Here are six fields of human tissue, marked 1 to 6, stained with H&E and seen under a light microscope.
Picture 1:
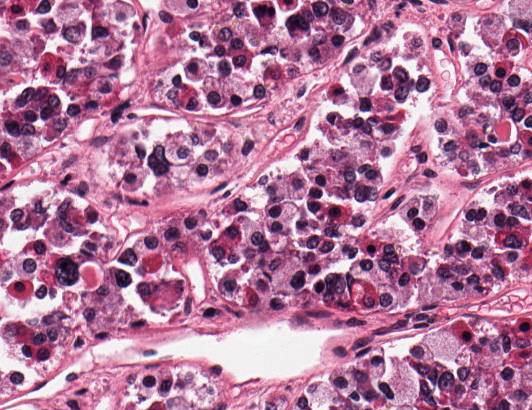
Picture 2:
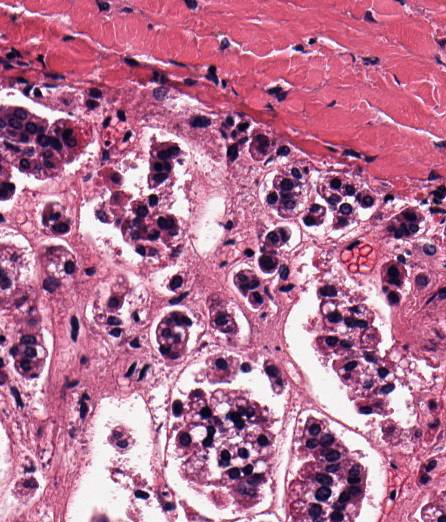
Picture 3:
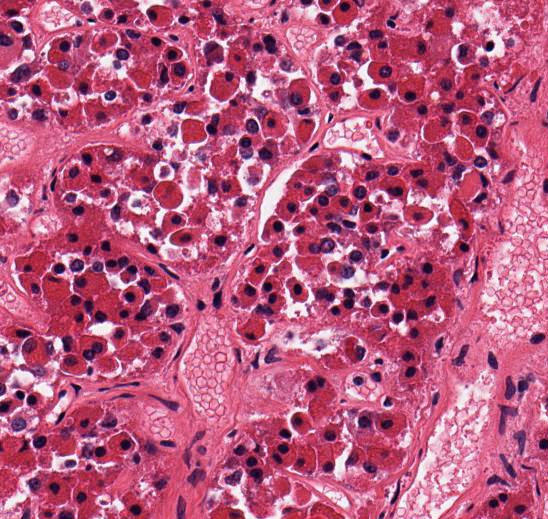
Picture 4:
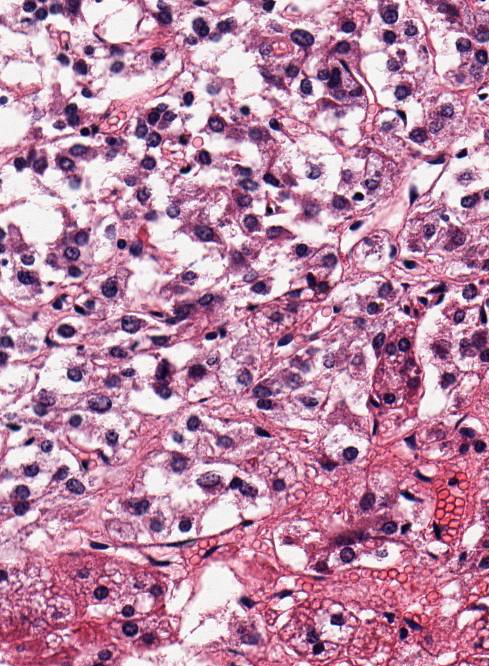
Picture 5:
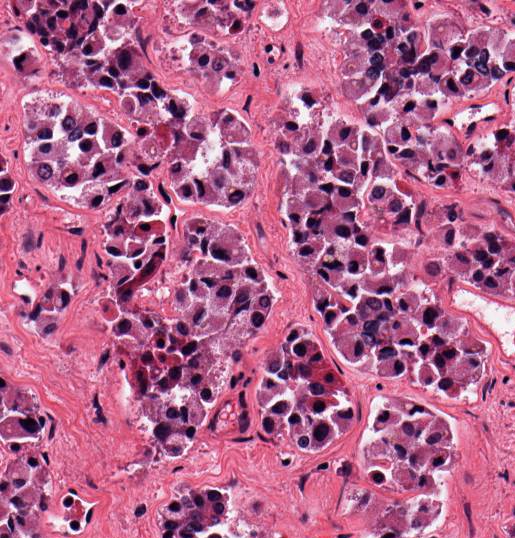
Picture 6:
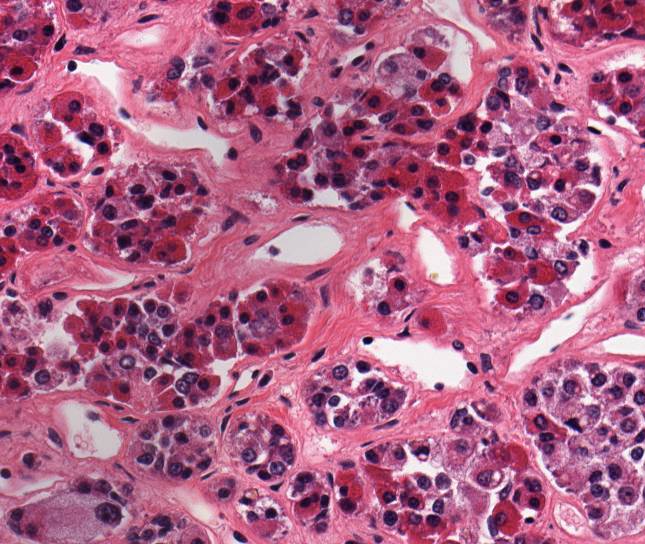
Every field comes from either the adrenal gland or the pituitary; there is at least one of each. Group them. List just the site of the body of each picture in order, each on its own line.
pituitary
adrenal gland
pituitary
adrenal gland
pituitary
pituitary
